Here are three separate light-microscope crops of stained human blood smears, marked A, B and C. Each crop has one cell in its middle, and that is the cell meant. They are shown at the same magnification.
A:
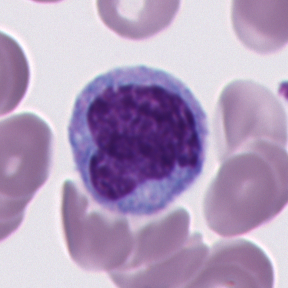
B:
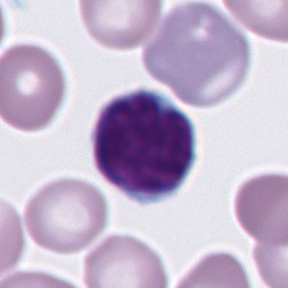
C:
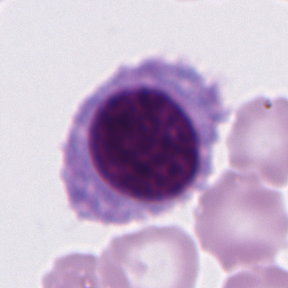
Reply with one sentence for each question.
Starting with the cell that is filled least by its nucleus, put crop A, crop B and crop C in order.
They run C, A, B, the least filled first.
